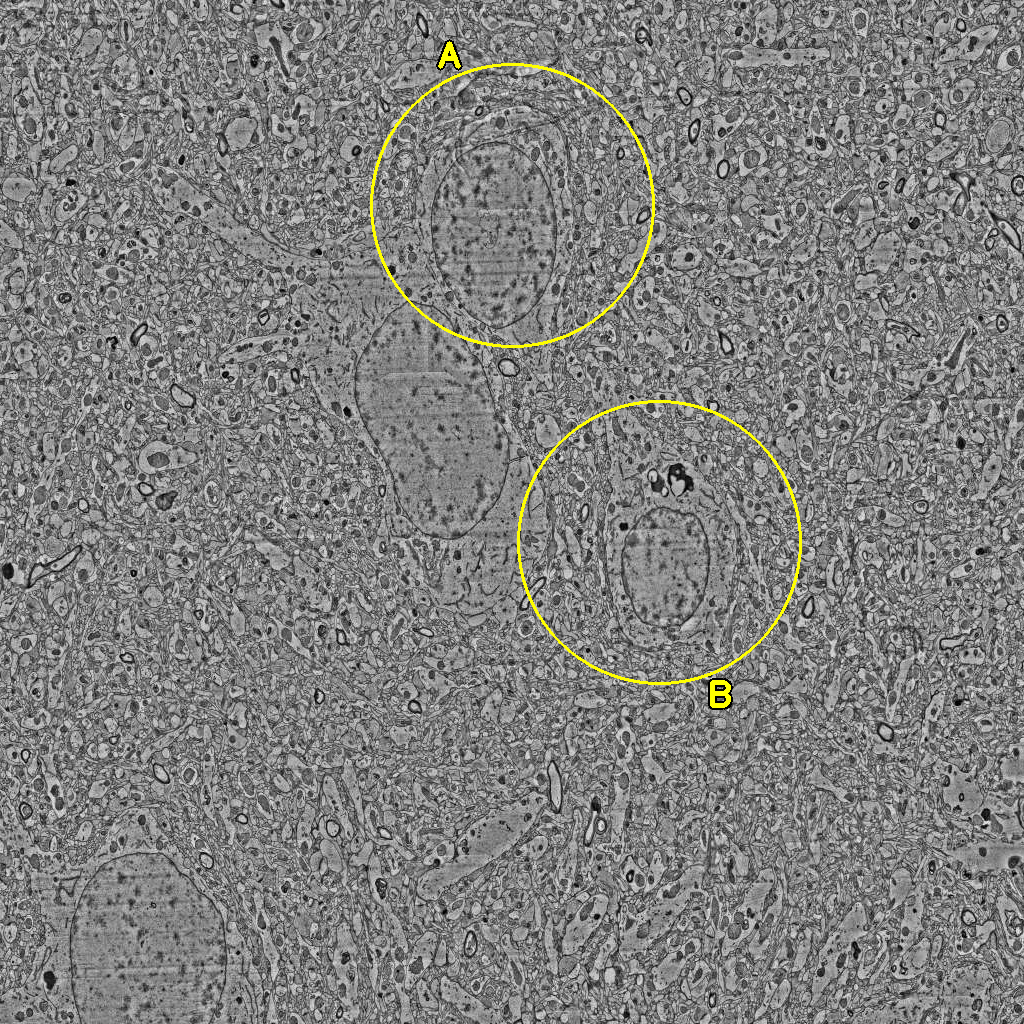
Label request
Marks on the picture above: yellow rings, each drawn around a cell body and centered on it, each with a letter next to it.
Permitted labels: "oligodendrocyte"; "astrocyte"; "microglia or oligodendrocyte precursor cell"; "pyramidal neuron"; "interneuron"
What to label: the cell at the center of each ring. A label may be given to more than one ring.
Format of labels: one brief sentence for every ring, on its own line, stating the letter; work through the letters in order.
The cell at the center of ring A is a pyramidal neuron.
The cell at the center of ring B is a pyramidal neuron.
